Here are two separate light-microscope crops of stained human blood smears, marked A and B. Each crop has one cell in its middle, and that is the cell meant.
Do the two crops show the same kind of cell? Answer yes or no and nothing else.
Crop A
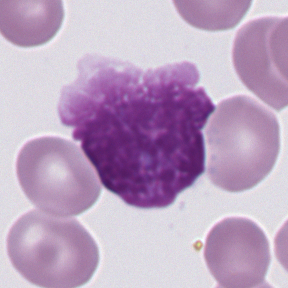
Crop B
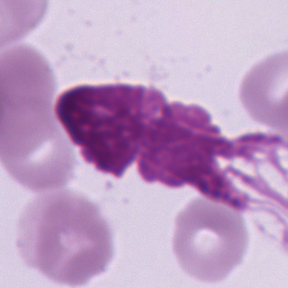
yes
